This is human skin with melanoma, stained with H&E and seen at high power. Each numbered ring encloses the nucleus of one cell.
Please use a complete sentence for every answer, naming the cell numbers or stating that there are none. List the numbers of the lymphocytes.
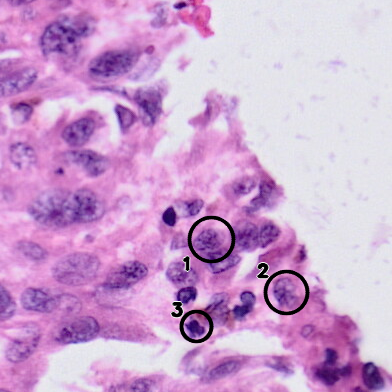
Cell 3 is a lymphocyte, whereas each of the other numbered cells is not.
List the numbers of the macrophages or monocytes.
Of all the cells bearing numbers, cell 2 is the only one that is a macrophage or monocyte.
